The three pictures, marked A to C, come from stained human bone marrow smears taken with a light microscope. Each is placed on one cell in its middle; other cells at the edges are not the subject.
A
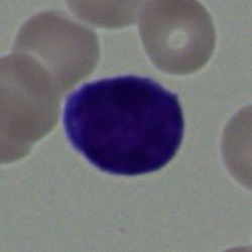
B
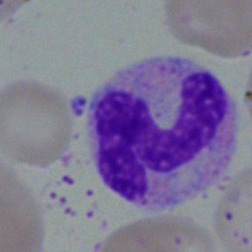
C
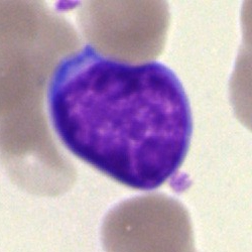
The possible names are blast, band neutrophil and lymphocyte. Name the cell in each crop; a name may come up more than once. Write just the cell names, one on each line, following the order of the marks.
lymphocyte
band neutrophil
blast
